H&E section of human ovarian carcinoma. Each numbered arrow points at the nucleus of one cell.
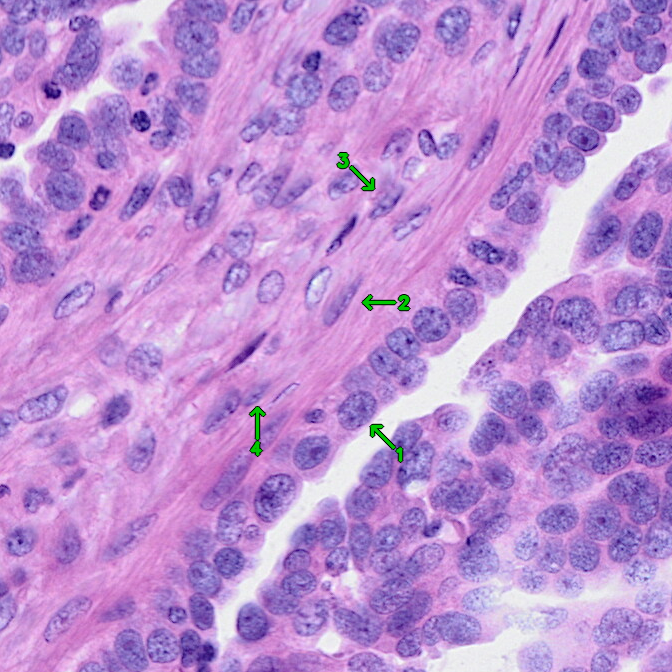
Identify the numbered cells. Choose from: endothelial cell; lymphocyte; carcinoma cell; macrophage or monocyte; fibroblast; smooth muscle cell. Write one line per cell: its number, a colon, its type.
1: carcinoma cell
2: fibroblast
3: fibroblast
4: fibroblast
